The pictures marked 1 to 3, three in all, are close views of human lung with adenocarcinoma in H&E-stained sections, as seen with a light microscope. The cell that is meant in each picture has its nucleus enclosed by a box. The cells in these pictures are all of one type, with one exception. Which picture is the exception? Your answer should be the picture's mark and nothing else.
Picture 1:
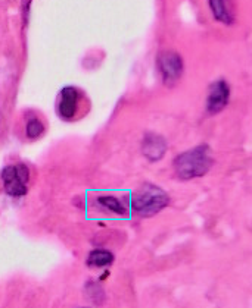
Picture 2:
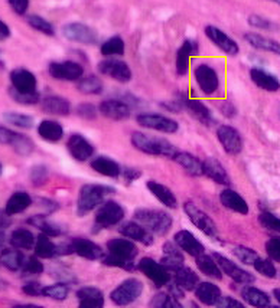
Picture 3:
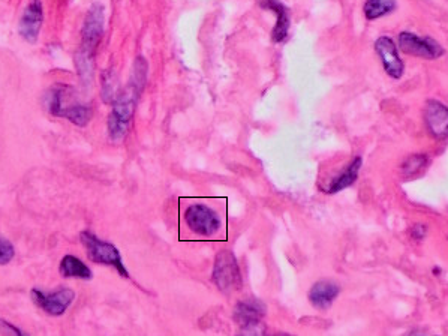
3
